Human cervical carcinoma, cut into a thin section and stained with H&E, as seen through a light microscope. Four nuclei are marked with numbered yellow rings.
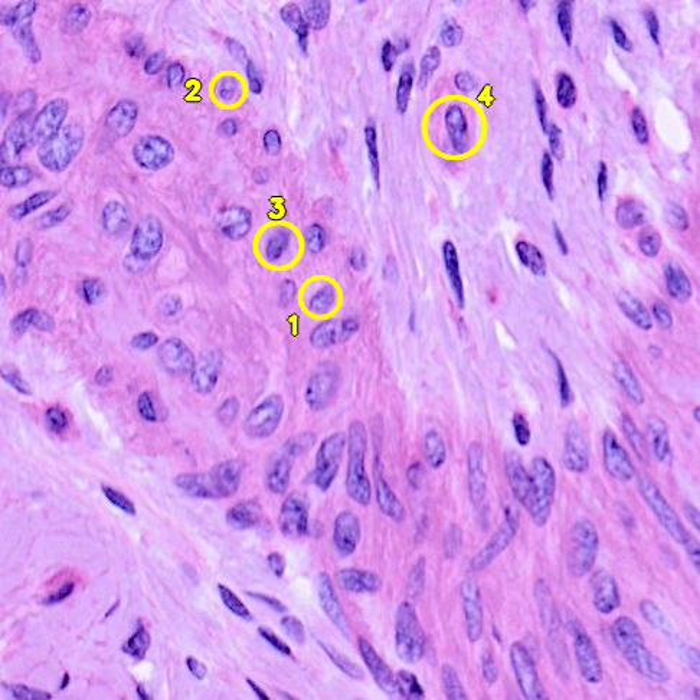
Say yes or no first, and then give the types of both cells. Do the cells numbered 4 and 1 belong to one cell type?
No, cell 4 is an endothelial cell and cell 1 is a smooth muscle cell.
